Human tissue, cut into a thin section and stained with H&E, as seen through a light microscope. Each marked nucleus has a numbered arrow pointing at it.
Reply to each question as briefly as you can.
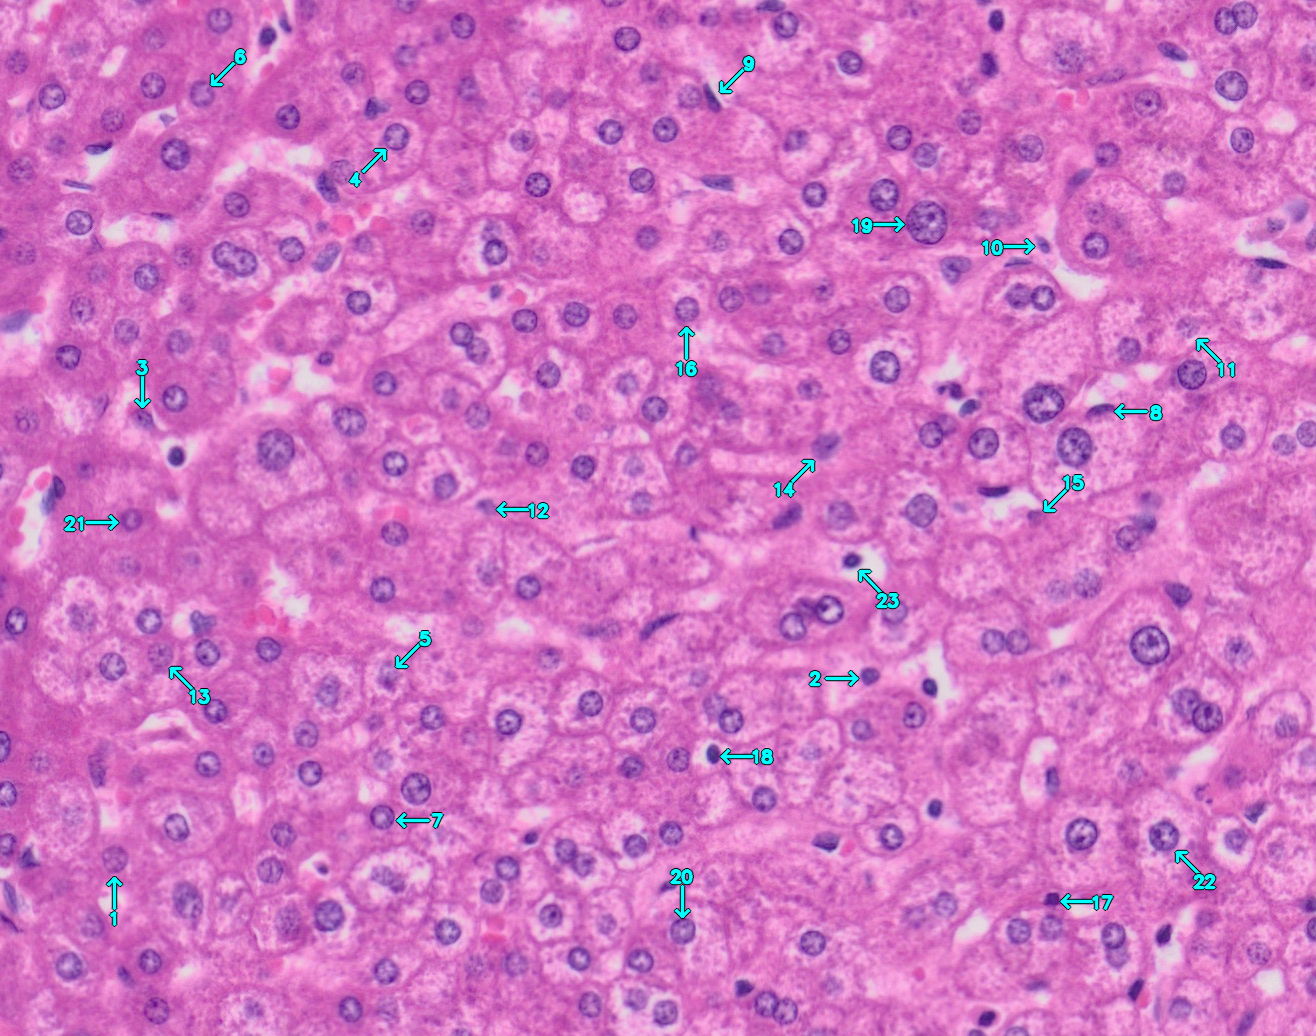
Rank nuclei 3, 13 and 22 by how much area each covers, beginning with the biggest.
22, 13, 3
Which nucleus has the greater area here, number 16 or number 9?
16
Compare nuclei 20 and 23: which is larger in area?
20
